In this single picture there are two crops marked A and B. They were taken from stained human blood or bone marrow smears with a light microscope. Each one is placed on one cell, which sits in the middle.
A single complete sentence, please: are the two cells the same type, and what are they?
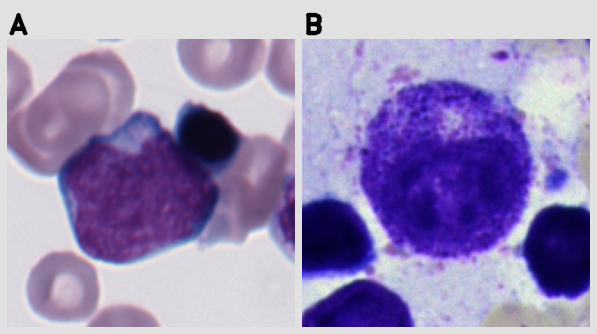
No; crop A is a blast, while crop B is a promyelocyte.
